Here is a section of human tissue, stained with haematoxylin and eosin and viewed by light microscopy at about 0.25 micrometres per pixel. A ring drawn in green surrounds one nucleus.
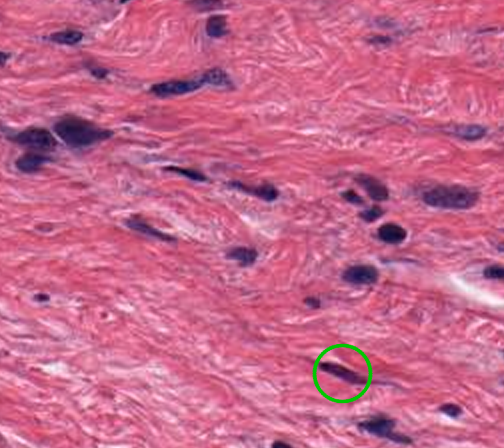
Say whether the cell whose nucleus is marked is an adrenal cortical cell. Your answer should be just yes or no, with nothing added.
no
